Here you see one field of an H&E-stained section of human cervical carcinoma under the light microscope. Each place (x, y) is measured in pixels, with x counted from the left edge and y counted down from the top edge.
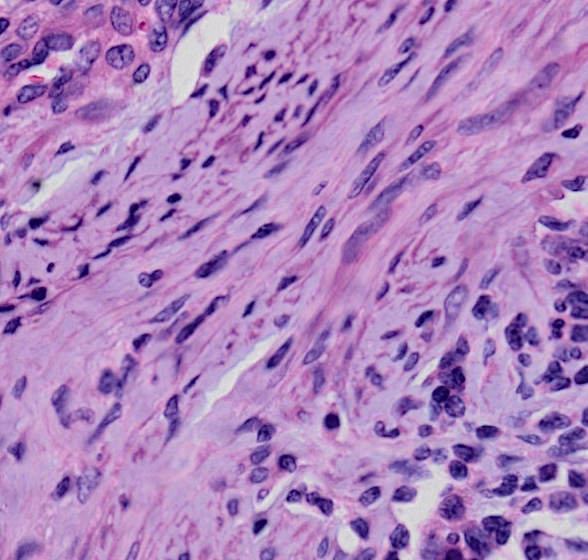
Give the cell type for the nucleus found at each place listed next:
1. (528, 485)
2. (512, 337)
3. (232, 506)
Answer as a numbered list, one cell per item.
1. lymphocyte
2. lymphocyte
3. smooth muscle cell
